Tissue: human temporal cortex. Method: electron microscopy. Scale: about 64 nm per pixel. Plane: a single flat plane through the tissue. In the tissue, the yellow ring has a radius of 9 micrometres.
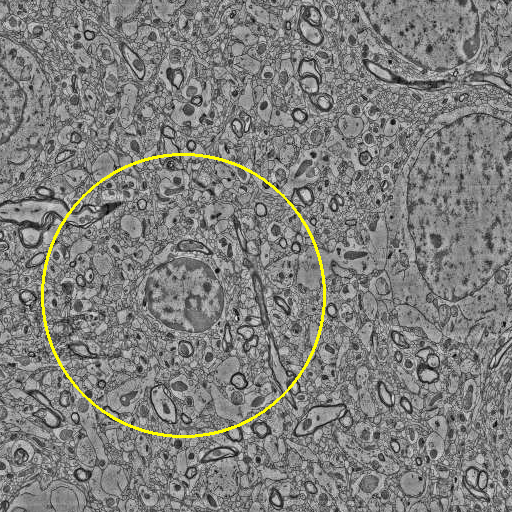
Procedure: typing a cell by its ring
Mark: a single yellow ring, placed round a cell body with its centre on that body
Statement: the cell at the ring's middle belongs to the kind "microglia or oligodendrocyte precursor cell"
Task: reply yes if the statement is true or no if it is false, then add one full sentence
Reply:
Yes, this is true: the cell at the ring's centre in the picture belongs to that kind.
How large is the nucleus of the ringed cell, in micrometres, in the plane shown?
The nucleus measures about 5 micrometers across in this plane.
